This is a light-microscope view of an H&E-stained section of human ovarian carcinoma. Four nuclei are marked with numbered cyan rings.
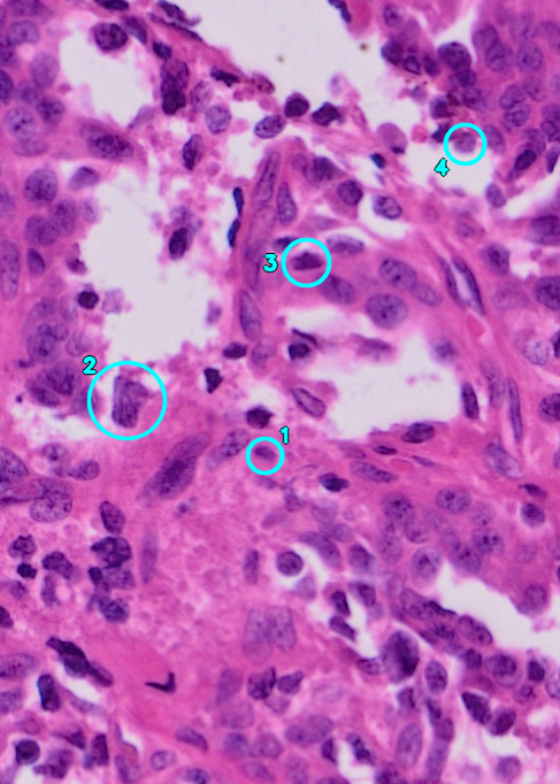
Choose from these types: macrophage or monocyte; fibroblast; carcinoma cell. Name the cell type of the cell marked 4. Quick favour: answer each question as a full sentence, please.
The mark numbered 4 indicates the nucleus of a carcinoma cell.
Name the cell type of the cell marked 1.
The cell whose nucleus carries the number 1 is a macrophage or monocyte.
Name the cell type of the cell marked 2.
Heads up, the cell numbered 2 is a carcinoma cell.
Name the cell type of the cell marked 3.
Number 3 among the marked cells is a carcinoma cell.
